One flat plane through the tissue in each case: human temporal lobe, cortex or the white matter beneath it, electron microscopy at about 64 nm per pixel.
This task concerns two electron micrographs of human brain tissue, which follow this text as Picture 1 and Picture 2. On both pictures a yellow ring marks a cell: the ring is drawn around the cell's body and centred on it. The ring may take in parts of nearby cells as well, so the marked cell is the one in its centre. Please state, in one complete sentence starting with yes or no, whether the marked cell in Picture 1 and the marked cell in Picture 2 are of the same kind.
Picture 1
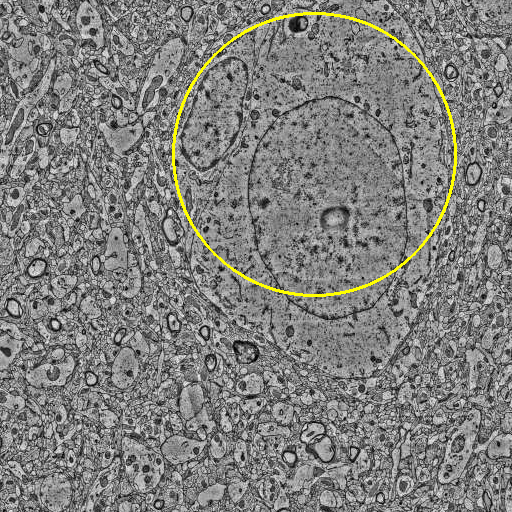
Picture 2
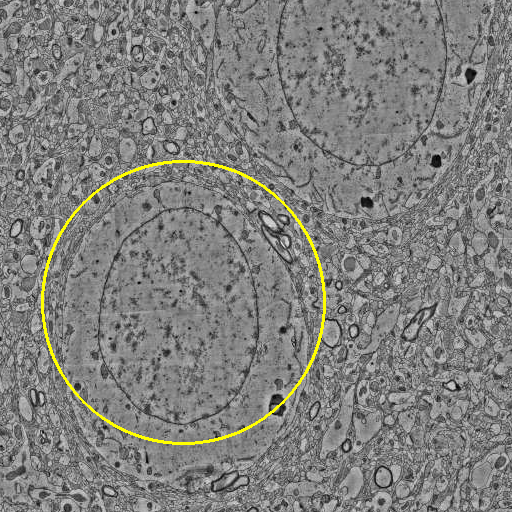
Yes, the marked cells in both pictures are of the same kind.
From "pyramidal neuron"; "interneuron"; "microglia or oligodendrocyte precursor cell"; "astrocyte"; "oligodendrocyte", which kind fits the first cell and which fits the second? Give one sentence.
The cell in the first picture is a pyramidal neuron, and so is the one in the second.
